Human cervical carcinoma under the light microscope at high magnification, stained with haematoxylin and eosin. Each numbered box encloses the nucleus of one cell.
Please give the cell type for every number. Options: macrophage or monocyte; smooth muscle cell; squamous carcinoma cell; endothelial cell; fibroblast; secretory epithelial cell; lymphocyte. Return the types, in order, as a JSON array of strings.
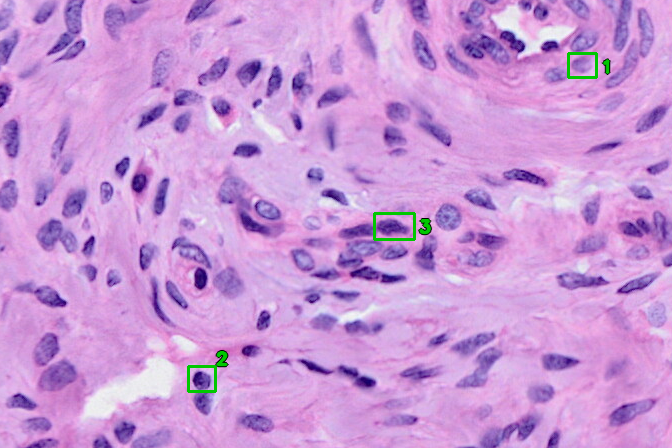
["smooth muscle cell", "lymphocyte", "endothelial cell"]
